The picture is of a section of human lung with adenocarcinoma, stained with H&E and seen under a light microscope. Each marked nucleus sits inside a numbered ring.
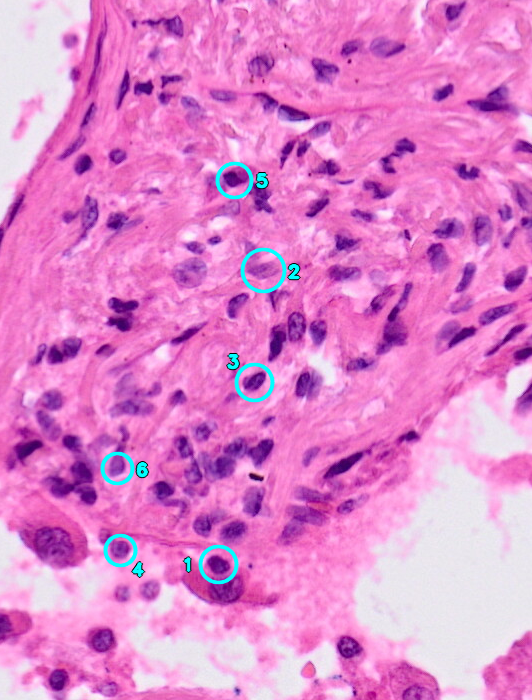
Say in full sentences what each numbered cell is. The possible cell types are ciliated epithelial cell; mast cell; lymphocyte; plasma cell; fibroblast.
Cell 1 is a lymphocyte, cell 2 is a fibroblast, cell 3 is a lymphocyte, cell 4 is a lymphocyte, cell 5 is a plasma cell and cell 6 is a lymphocyte.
